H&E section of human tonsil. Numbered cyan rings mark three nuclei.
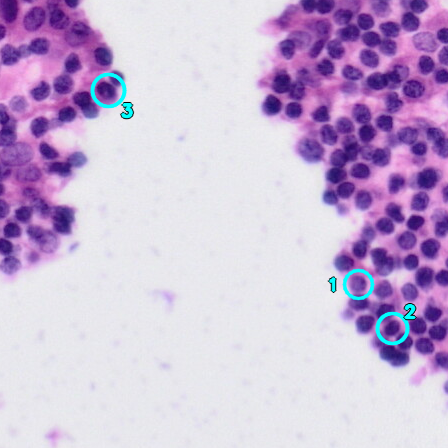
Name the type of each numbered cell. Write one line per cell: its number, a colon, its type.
1: small lymphocyte
2: small lymphocyte
3: plasma cell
